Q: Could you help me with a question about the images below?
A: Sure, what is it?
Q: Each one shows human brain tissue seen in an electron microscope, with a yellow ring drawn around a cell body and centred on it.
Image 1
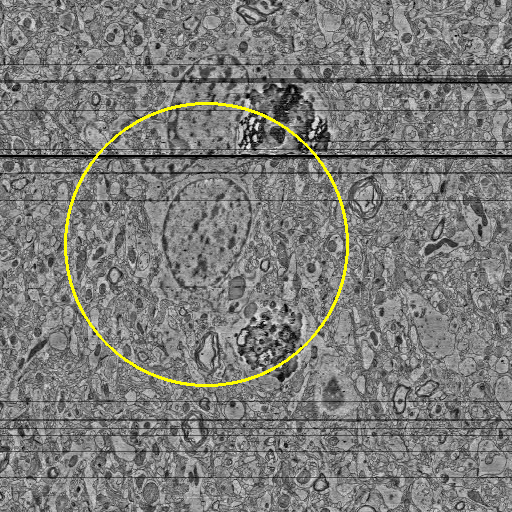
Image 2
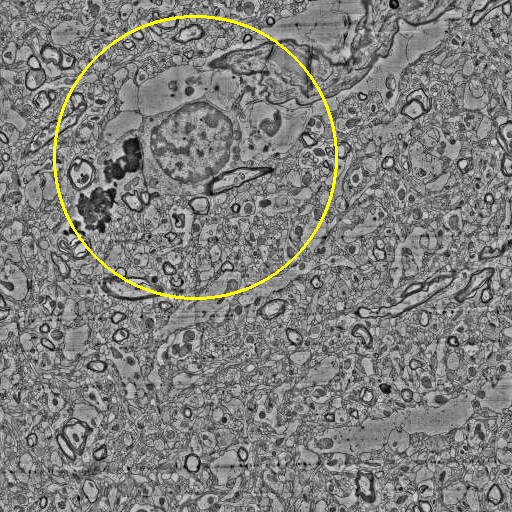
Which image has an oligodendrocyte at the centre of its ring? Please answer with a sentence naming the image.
Image 2 has it at the centre of its ring.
